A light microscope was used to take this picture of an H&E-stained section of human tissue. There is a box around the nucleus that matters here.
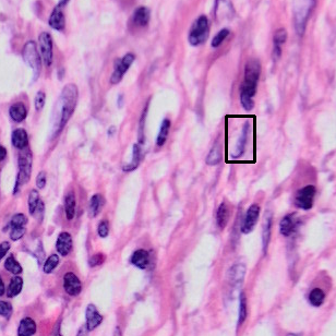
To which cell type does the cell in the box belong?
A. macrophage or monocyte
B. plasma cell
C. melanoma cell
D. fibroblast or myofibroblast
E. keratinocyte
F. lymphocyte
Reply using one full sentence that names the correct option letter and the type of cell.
Option D is correct in that the cell in the box is a fibroblast or myofibroblast.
